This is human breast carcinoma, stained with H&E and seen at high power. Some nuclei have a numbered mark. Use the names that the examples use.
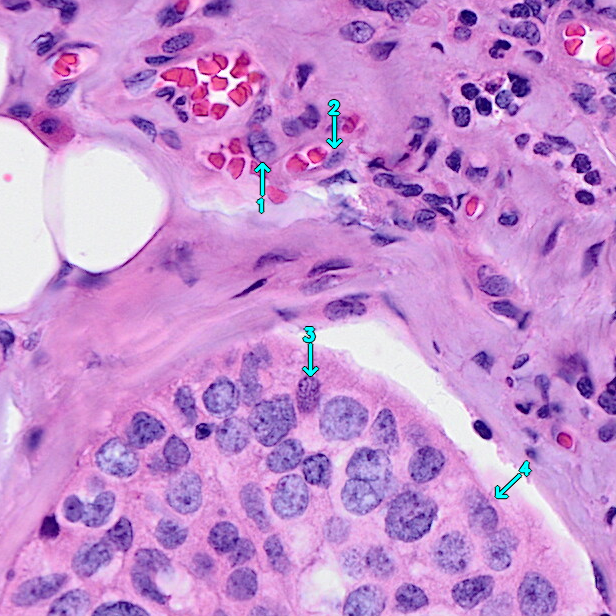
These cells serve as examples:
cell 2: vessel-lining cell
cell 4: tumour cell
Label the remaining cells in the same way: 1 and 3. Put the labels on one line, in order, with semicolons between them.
vessel-lining cell; tumour cell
